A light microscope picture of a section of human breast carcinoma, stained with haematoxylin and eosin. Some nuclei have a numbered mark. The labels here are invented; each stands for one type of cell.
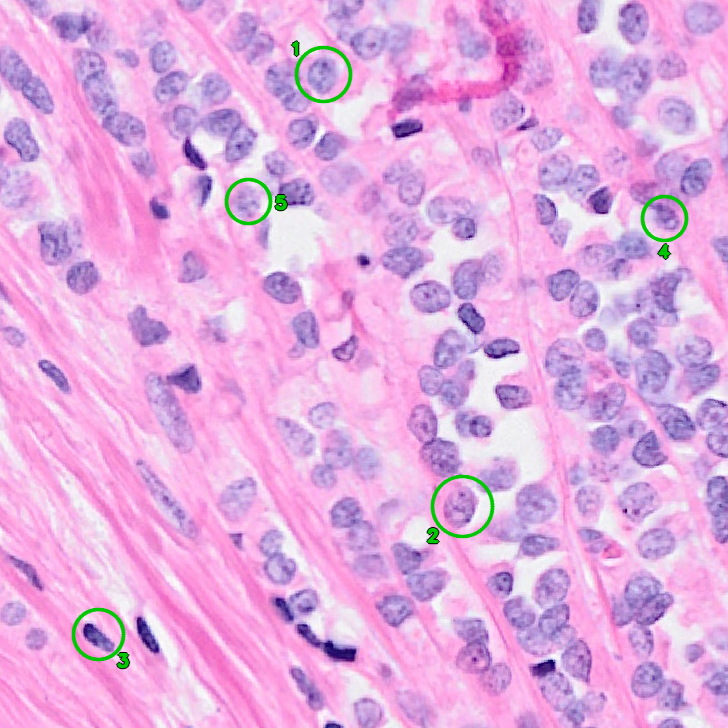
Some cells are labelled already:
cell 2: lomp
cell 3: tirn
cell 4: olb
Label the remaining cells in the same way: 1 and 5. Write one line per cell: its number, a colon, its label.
1: lomp
5: lomp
